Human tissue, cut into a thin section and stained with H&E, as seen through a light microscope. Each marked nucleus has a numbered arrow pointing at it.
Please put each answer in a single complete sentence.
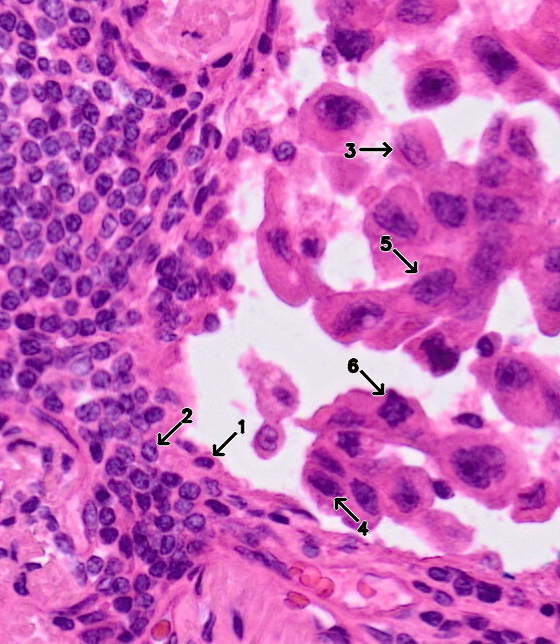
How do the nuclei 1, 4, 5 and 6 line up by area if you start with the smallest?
From smallest to largest, the order is 1, 4, 6, 5.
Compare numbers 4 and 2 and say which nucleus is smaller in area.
Number 2 is smaller, since number 4 takes up about 2 times as much area.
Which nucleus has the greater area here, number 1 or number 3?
Nucleus 3 covers more area, about 4 times as much as nucleus 1.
